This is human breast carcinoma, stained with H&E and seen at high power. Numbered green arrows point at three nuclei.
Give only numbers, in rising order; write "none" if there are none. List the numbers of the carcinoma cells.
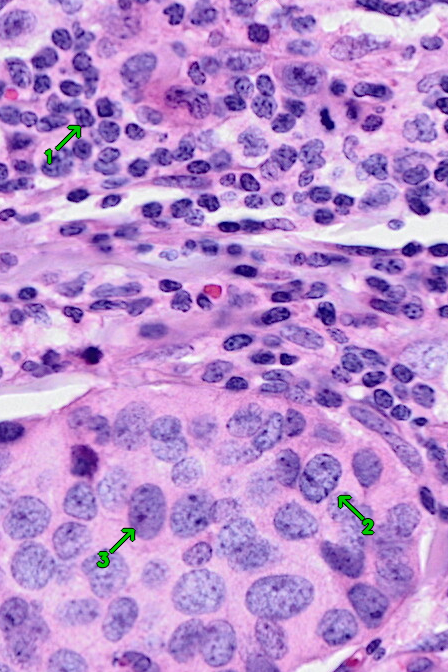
2, 3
